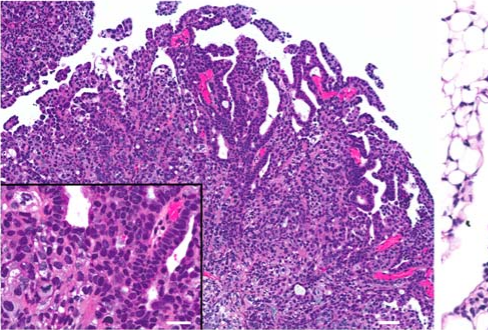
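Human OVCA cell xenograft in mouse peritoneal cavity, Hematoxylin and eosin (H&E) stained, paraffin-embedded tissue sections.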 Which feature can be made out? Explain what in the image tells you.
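Finger-like fronds of epithelium project from the upper edge of the tissue. Thin pink-red fibrovascular cores run inside the fronds.
Conclusion: papillary projections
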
